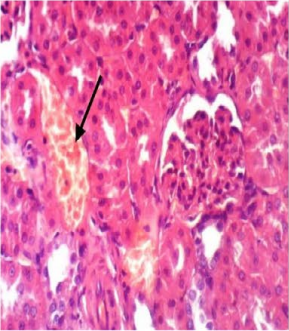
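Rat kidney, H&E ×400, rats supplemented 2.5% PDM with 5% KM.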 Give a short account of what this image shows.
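Renal cortex with a glomerulus on the right and closely packed tubules lined by cuboidal cells with pink cytoplasm and round purple nuclei. On the left an elongated blood vessel is distended and filled with red-orange red blood cells.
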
